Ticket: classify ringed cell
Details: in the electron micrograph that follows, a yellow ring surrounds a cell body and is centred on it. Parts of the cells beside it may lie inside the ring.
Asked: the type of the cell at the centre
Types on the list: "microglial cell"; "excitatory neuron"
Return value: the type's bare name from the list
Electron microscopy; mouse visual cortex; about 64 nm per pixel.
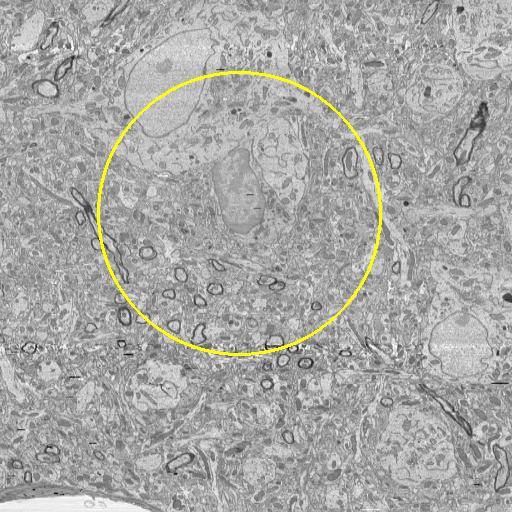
microglial cell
